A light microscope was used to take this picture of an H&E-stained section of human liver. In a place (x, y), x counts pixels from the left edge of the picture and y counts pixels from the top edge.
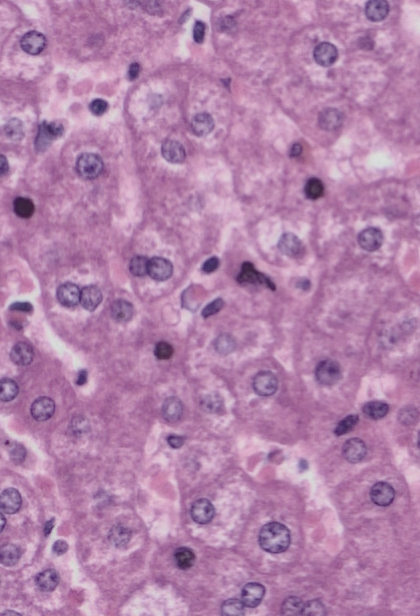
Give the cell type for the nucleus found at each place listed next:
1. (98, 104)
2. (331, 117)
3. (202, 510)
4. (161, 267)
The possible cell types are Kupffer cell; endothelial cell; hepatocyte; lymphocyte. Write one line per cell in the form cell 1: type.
cell 1: lymphocyte
cell 2: hepatocyte
cell 3: hepatocyte
cell 4: hepatocyte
